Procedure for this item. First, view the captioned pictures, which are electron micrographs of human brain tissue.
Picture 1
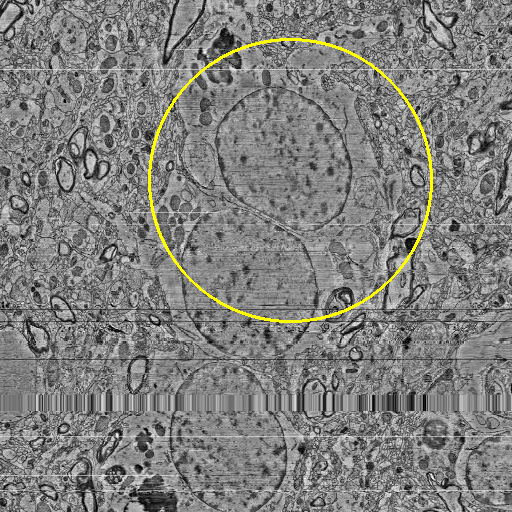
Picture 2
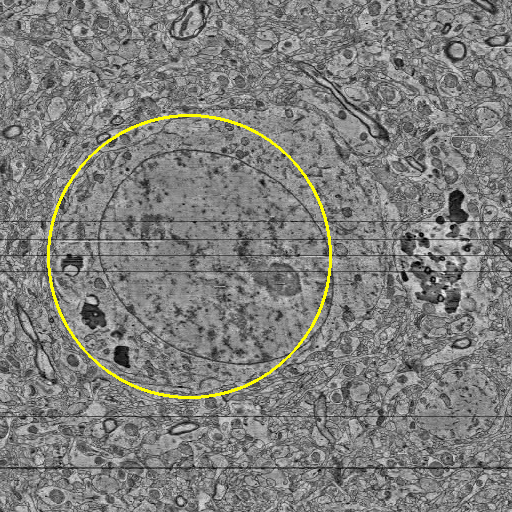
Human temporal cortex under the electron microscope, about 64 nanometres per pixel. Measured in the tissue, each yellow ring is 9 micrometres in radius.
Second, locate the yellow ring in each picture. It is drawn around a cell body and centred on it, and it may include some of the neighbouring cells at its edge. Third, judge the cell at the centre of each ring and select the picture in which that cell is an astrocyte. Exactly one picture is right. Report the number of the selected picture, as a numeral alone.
1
